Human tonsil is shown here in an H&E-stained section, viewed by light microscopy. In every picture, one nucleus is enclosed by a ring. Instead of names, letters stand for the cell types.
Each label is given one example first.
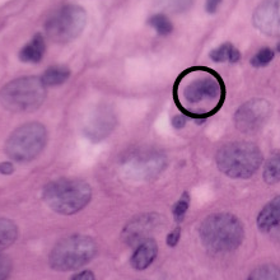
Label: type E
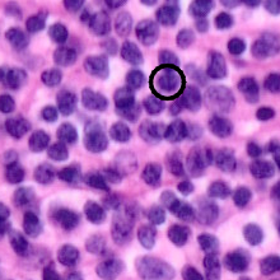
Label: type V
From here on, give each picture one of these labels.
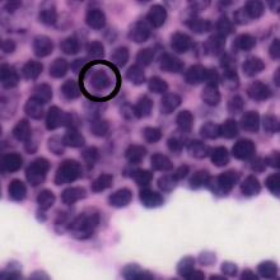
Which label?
type V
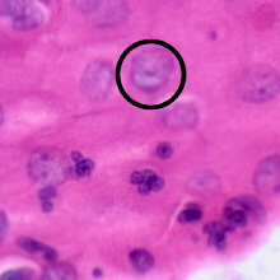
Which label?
type E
